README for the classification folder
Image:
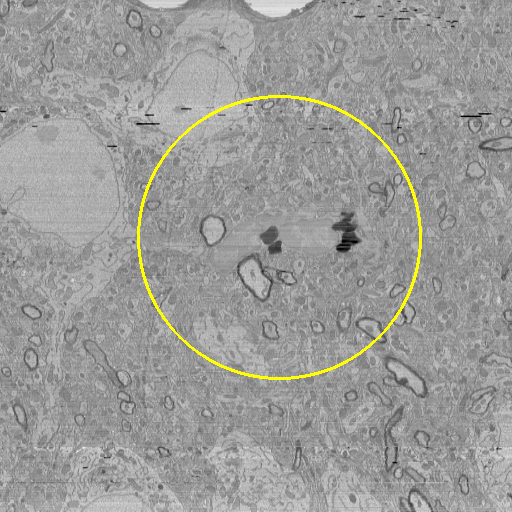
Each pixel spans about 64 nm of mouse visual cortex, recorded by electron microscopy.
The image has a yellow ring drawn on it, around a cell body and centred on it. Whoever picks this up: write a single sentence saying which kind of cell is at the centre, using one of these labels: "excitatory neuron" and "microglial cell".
This cell body is that of a microglial cell.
